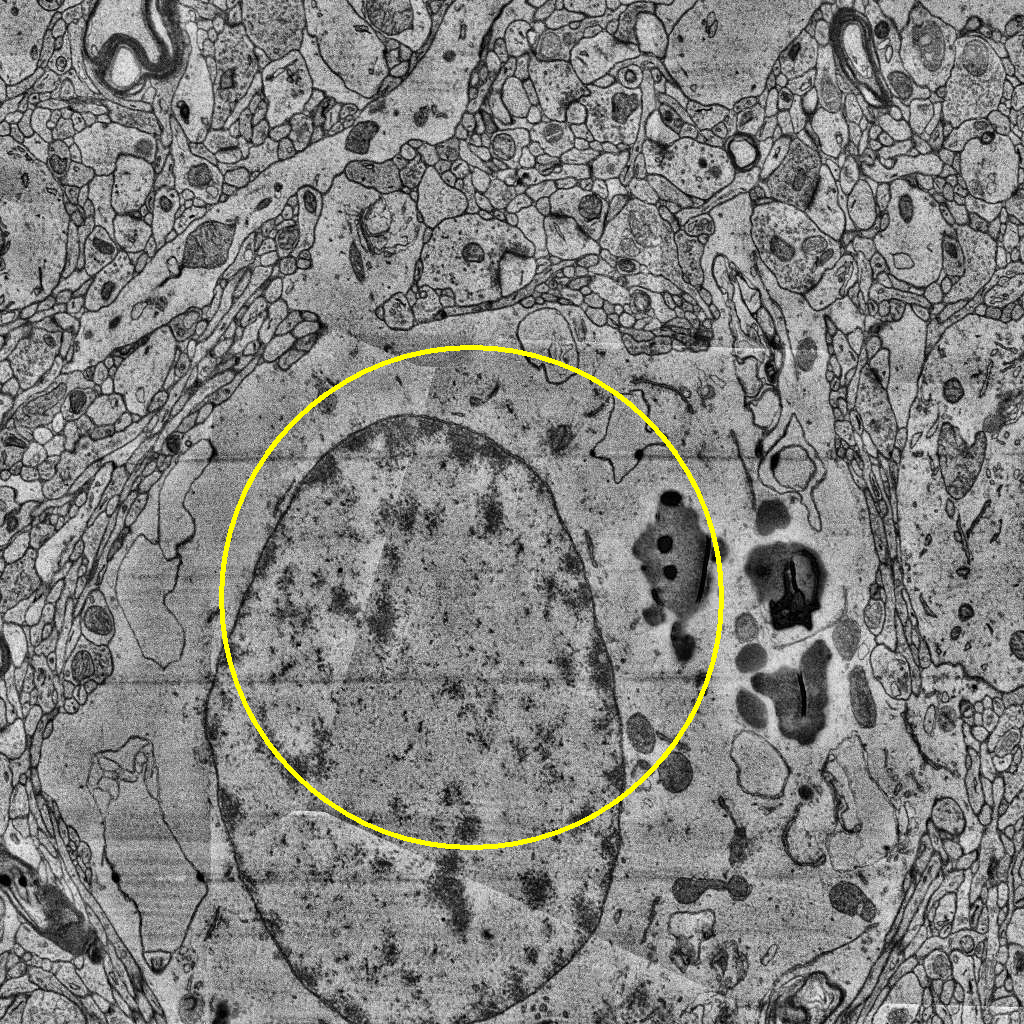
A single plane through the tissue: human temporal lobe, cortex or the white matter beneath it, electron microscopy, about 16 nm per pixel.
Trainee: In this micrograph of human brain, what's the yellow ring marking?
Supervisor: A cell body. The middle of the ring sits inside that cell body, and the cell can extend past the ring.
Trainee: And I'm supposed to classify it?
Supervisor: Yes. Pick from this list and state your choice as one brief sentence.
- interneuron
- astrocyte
The cell at the ring's center is an astrocyte.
